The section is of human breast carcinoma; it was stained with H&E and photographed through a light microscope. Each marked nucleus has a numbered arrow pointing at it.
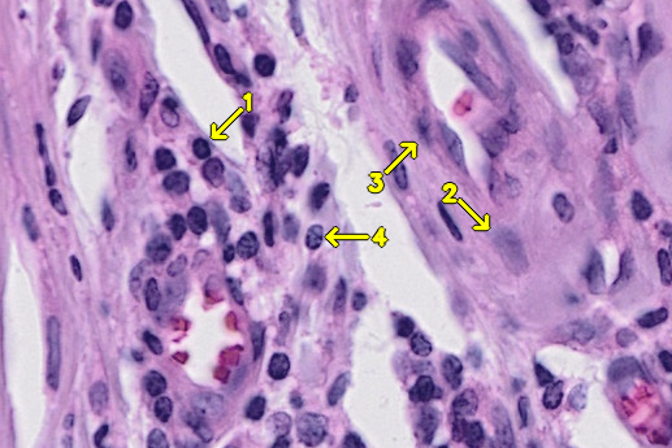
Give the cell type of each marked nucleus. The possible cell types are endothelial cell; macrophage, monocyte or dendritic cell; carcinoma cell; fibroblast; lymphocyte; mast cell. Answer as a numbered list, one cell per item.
1. lymphocyte
2. fibroblast
3. endothelial cell
4. lymphocyte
